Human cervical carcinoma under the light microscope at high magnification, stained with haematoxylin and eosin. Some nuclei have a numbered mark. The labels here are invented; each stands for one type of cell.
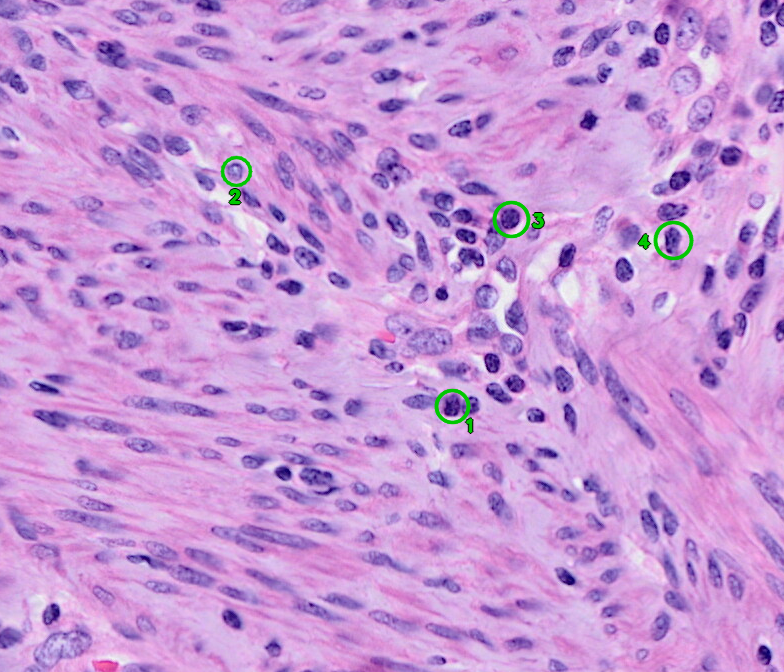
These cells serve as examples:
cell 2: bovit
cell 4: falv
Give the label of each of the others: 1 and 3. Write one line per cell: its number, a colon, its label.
1: falv
3: falv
